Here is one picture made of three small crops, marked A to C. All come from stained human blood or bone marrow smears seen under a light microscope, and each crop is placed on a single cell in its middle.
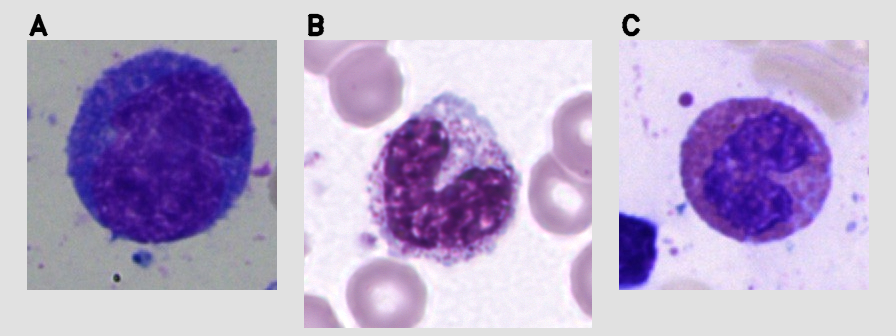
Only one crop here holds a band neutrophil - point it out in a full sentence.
Within this set, crop B is the one with a band neutrophil at its center.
